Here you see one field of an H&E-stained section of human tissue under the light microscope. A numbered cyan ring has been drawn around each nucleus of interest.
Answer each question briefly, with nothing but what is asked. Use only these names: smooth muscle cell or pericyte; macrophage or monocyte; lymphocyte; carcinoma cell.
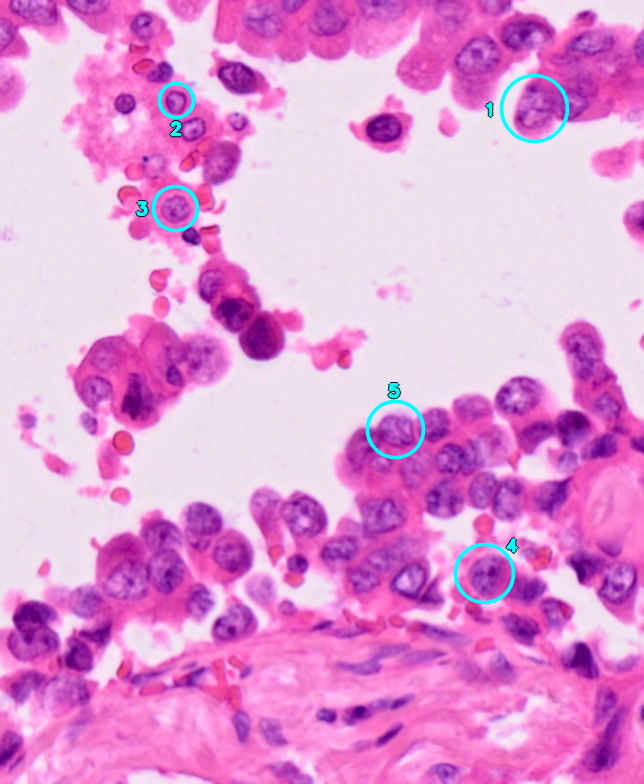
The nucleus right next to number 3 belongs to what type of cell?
lymphocyte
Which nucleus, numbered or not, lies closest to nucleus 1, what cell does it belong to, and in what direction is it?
a carcinoma cell, to the right of nucleus 1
